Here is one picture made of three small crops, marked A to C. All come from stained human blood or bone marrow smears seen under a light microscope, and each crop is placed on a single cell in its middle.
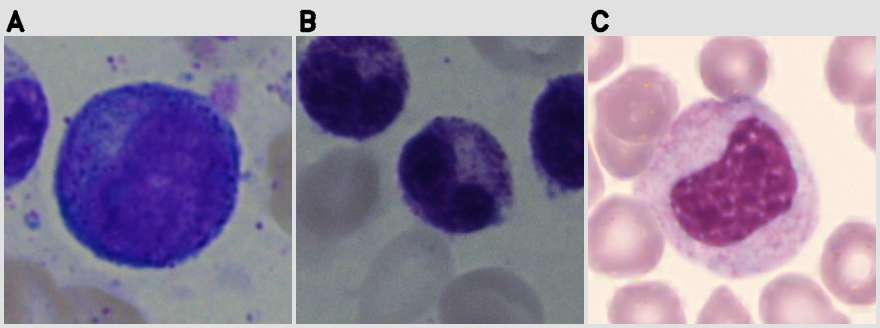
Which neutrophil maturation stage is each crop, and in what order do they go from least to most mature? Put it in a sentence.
Starting from the least mature, the sequence proceeds crop A (a promyelocyte), crop C (a metamyelocyte) and crop B (a band neutrophil).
